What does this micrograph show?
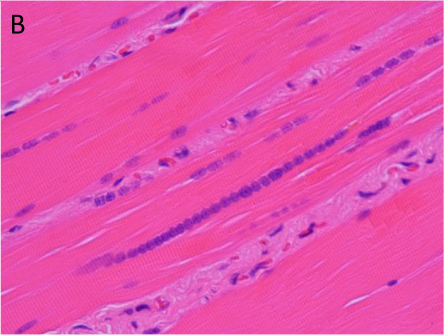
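Here skeletal muscle fibers are cut lengthwise, appearing as long pink bands running diagonally. In one fiber a long row of dark purple oval nuclei runs along its length, packed end to end like a chain. Such nuclei lie inside the fiber rather than only at its edge. Between the fibers thin strands of connective tissue carry small elongated nuclei and some red blood cells.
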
